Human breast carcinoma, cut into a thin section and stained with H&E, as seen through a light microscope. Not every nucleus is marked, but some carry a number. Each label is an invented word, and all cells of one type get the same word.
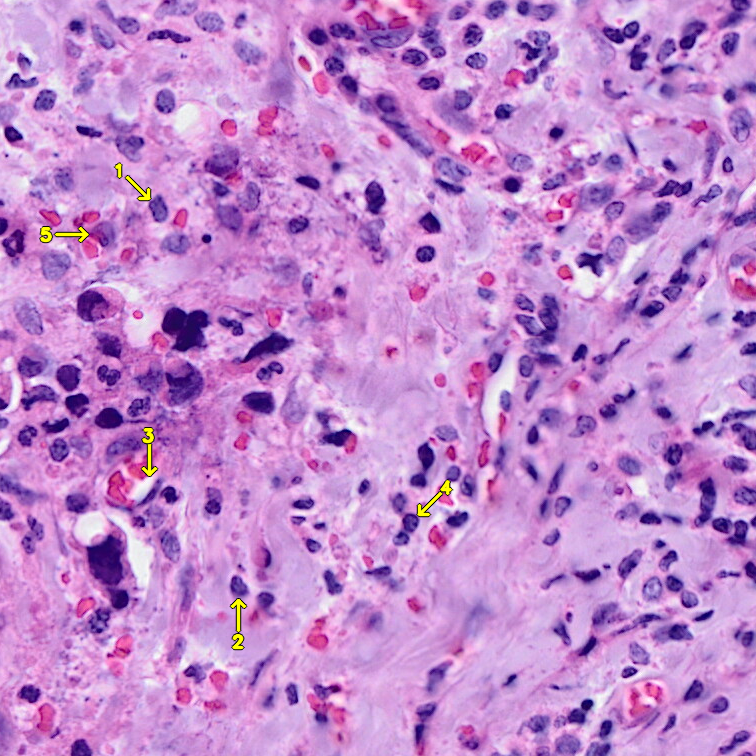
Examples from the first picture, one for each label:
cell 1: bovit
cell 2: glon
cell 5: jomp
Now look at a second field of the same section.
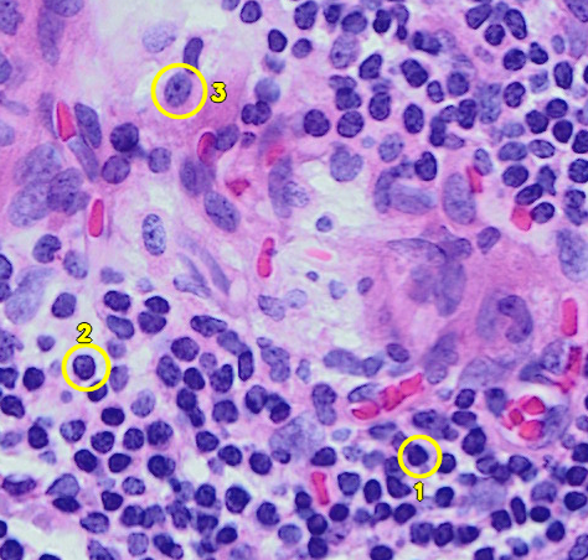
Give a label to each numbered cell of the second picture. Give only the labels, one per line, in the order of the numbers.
glon
glon
bovit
